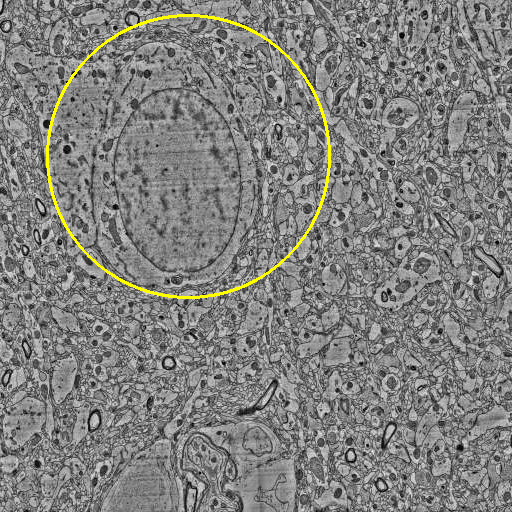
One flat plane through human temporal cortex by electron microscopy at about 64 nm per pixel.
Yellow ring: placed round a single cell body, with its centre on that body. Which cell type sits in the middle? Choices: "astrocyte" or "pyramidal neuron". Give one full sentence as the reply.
It is a pyramidal neuron whose cell body sits at the centre of the yellow ring.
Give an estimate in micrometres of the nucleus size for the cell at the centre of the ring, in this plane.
The nucleus is approximately 12 micrometers long by 8 micrometers wide in this plane.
